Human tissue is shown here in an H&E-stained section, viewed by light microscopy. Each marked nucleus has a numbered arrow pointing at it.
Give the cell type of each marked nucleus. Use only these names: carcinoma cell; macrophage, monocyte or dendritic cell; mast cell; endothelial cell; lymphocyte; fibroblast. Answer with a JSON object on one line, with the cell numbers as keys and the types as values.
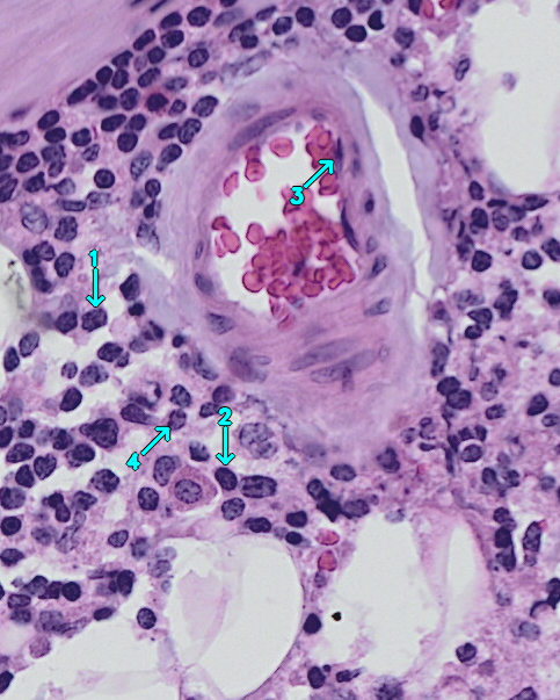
{"1": "lymphocyte", "2": "lymphocyte", "3": "endothelial cell", "4": "lymphocyte"}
